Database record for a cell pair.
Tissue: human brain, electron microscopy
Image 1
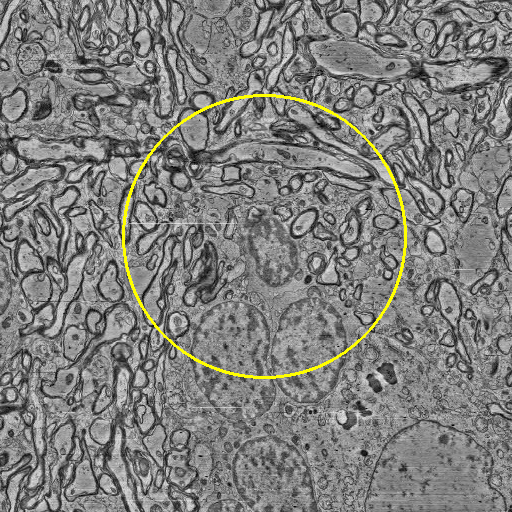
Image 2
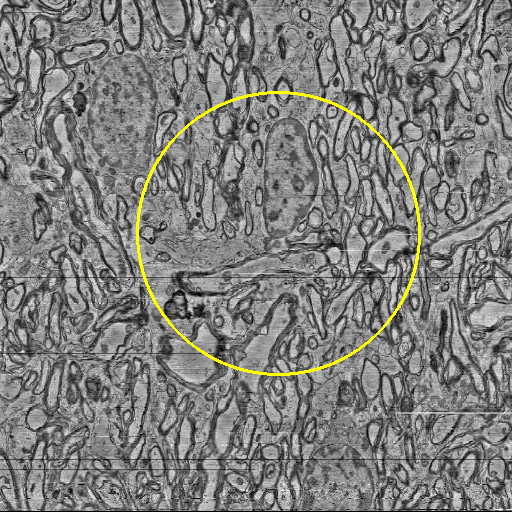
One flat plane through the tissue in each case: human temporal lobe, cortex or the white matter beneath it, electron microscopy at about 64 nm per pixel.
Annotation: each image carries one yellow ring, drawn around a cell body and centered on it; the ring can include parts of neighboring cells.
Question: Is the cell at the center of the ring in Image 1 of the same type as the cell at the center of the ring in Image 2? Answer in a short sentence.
No, the cells are of two types.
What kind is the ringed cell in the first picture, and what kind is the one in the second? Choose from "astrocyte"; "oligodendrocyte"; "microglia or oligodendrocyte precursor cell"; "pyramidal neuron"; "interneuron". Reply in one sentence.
The first cell is an oligodendrocyte; the second is a microglial cell or oligodendrocyte precursor cell.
